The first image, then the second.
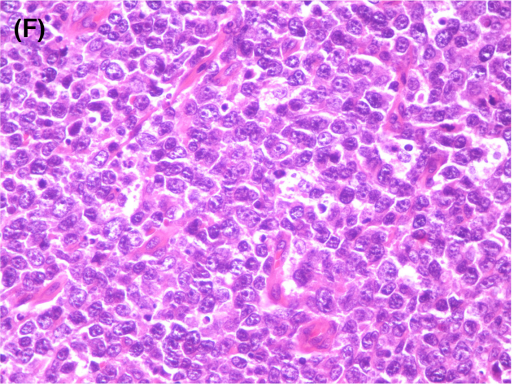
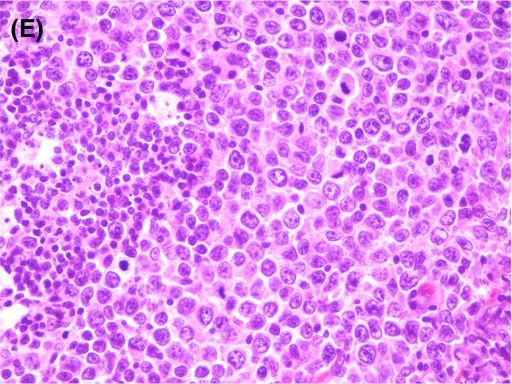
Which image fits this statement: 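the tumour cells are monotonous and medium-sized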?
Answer: The second image.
